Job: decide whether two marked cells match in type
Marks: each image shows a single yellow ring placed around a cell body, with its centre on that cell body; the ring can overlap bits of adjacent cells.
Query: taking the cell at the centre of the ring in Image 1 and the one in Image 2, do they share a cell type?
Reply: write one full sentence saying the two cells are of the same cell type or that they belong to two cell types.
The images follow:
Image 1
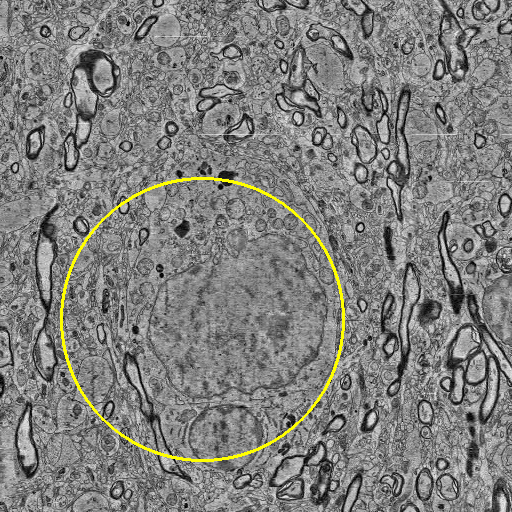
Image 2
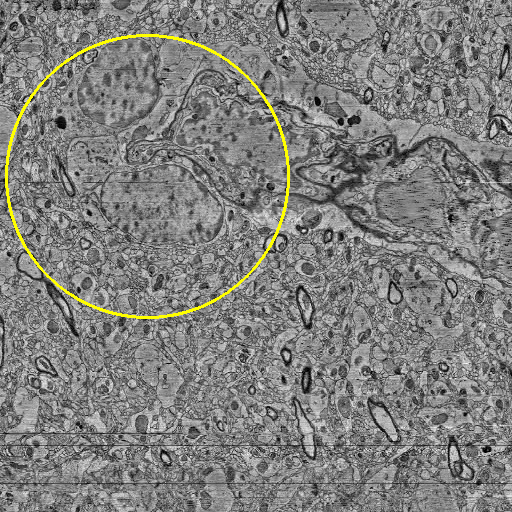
The cells at the ring centres in Image 1 and Image 2 belong to two cell types.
